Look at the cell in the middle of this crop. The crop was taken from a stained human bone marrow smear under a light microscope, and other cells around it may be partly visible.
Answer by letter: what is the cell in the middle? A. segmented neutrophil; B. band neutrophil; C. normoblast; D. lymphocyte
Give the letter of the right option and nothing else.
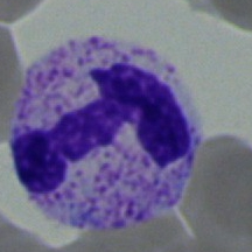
A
